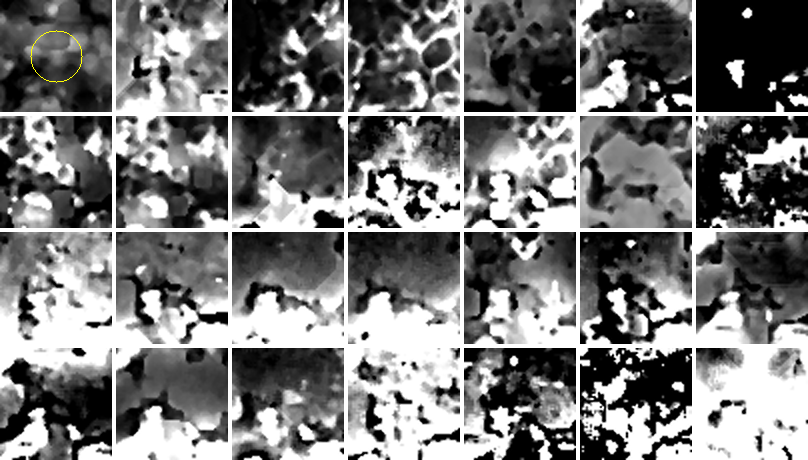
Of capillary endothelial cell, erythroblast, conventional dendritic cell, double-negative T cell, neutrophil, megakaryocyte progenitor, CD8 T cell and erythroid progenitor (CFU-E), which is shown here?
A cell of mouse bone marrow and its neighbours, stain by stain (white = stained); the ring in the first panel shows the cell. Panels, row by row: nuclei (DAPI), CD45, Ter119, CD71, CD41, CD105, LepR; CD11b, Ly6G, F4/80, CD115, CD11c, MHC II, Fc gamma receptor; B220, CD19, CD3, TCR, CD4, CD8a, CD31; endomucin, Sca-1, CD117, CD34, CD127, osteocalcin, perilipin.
conventional dendritic cell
